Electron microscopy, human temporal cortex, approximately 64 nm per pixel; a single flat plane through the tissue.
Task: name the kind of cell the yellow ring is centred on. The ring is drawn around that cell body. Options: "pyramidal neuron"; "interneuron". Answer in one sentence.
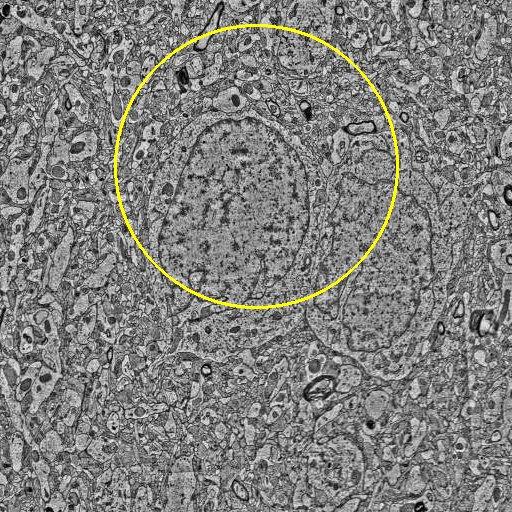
This cell body belongs to an interneuron.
